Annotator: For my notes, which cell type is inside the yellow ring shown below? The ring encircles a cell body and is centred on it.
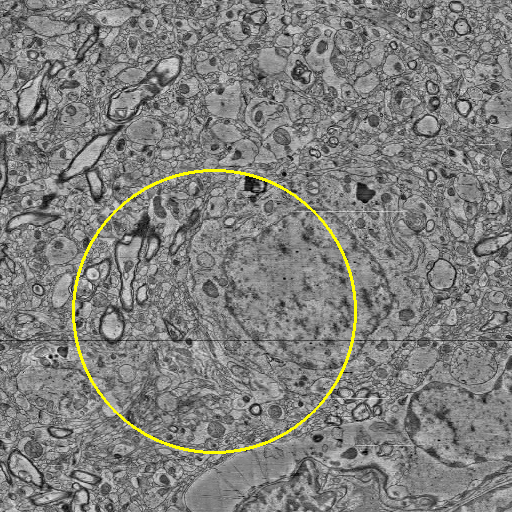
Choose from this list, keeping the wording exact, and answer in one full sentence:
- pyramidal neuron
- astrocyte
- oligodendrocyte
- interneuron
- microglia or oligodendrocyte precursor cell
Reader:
At the centre of the yellow ring there is a microglial cell or oligodendrocyte precursor cell, as shown in the picture.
